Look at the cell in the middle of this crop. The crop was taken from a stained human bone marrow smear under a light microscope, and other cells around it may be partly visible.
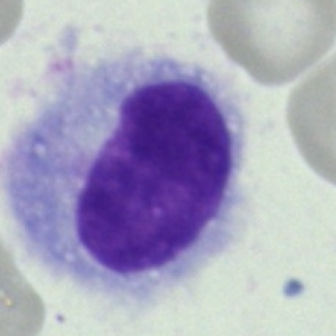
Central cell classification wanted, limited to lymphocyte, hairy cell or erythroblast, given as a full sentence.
The crop's centre is taken up by a hairy cell.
